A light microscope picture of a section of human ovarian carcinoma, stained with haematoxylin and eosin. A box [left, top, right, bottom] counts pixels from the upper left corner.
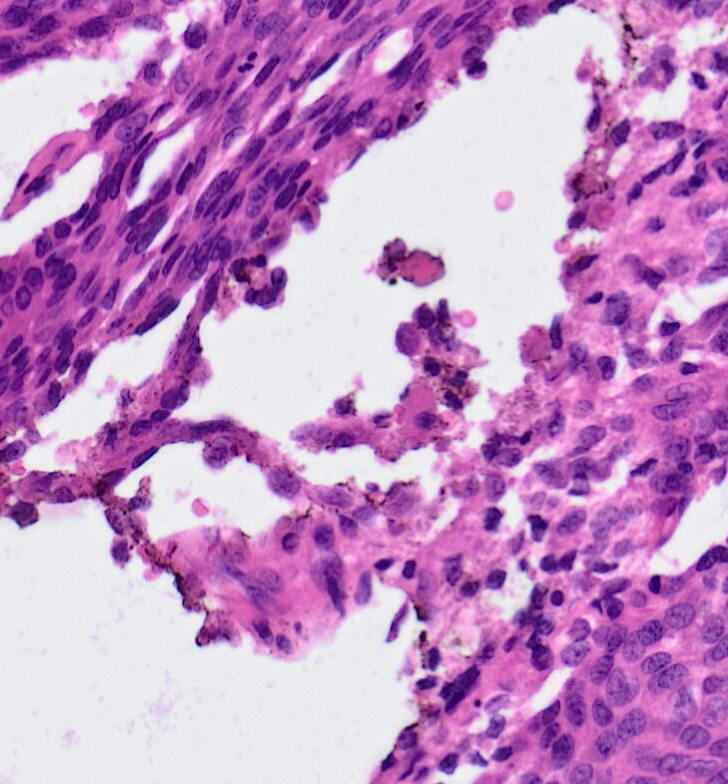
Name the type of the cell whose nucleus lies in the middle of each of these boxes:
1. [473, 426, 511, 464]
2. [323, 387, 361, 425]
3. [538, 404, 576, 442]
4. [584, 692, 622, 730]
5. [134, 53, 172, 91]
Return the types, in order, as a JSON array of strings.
["carcinoma cell", "macrophage or monocyte", "macrophage or monocyte", "carcinoma cell", "macrophage or monocyte"]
